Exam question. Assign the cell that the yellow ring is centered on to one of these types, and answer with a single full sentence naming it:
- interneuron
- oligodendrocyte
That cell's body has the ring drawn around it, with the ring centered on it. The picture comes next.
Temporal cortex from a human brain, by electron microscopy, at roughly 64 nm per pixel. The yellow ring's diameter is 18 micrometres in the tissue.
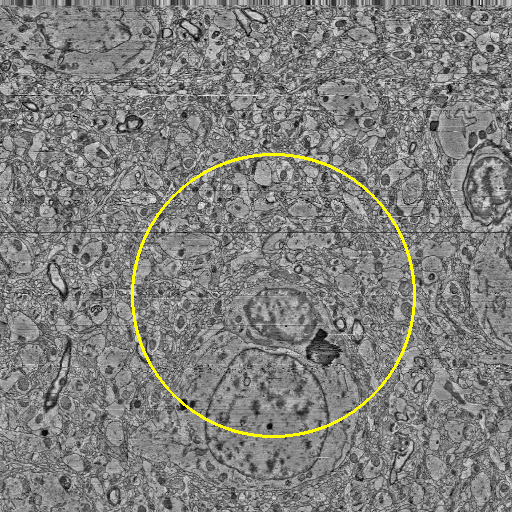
In the micrograph, the cell the yellow ring is centered on is an oligodendrocyte.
